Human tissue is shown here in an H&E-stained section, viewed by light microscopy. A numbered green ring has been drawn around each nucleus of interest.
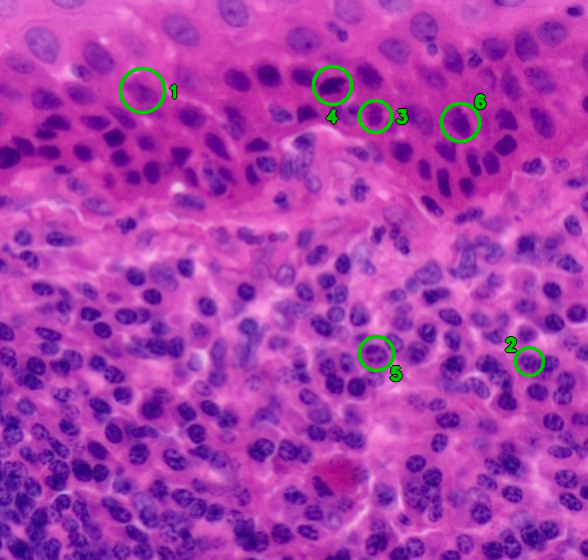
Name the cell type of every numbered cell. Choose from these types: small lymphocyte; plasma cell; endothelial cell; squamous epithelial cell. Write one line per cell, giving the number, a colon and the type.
1: squamous epithelial cell
2: plasma cell
3: squamous epithelial cell
4: squamous epithelial cell
5: plasma cell
6: squamous epithelial cell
